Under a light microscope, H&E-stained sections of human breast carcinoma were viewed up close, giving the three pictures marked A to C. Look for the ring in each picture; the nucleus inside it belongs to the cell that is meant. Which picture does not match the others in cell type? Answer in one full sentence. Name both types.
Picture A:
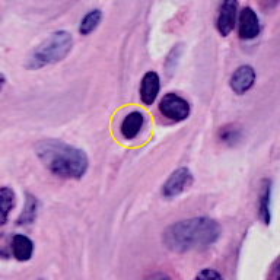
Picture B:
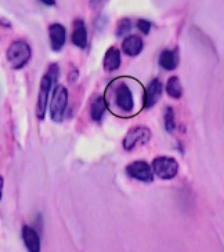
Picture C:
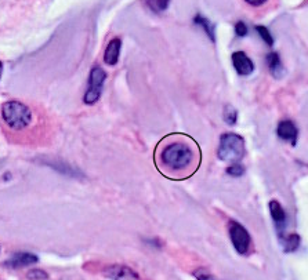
Unlike the rest, which show lymphocytes, picture C shows a mast cell.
